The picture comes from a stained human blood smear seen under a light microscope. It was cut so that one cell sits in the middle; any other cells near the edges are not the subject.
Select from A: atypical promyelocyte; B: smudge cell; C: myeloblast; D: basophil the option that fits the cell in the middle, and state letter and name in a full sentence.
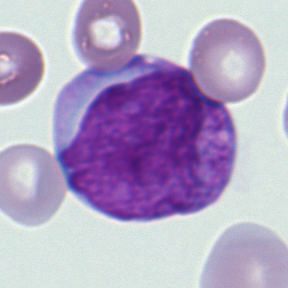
With the cell in the middle being an atypical promyelocyte, option A is the correct choice.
